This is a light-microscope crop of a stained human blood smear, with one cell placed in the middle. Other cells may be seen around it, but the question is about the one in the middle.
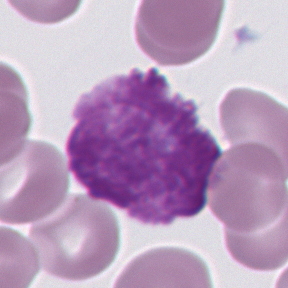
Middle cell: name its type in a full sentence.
By classification, the middle cell of this crop is a smudge cell.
